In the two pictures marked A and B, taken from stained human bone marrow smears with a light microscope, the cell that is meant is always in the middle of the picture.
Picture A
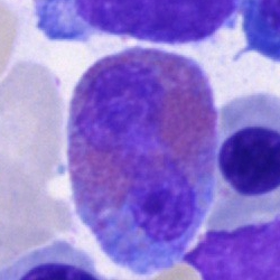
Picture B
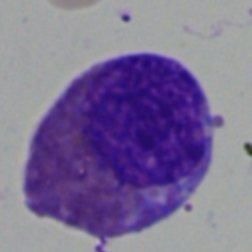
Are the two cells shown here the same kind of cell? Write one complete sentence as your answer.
Yes, the two pictures both show eosinophils.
